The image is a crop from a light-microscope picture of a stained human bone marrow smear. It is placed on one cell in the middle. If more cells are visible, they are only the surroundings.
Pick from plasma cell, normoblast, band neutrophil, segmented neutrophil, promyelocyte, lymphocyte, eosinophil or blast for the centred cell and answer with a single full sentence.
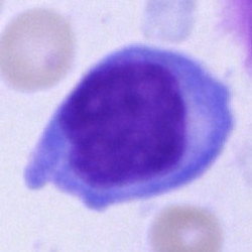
Here the cell in the middle is a blast.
